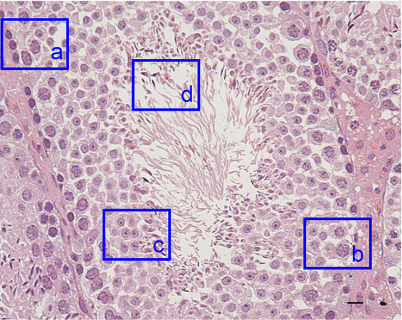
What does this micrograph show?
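This section of testis shows the seminiferous epithelium, packed with spermatogenic cells in many layers around a central lumen. Near the outer edge of the tubule sit round cells with dark purple nuclei. Further in are larger cells whose nuclei have coarse, thread-like chromatin, and then many smaller round cells with pale, round nuclei. Toward the lumen, slender dark elongated heads and a mass of pink tails fill the centre, while flattened cells and pink interstitial tissue lie outside the tubule.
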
